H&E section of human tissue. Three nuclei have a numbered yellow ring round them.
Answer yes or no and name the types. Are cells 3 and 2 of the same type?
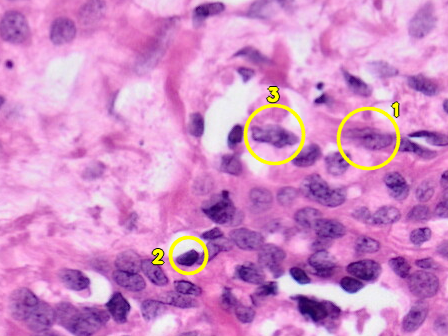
No; whereas cell 3 is a macrophage or monocyte, cell 2 is a carcinoma cell.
